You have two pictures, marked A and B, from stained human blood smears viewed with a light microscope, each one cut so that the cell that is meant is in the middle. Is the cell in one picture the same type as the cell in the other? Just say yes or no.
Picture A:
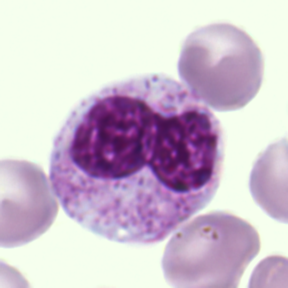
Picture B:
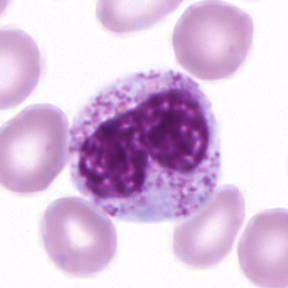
yes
